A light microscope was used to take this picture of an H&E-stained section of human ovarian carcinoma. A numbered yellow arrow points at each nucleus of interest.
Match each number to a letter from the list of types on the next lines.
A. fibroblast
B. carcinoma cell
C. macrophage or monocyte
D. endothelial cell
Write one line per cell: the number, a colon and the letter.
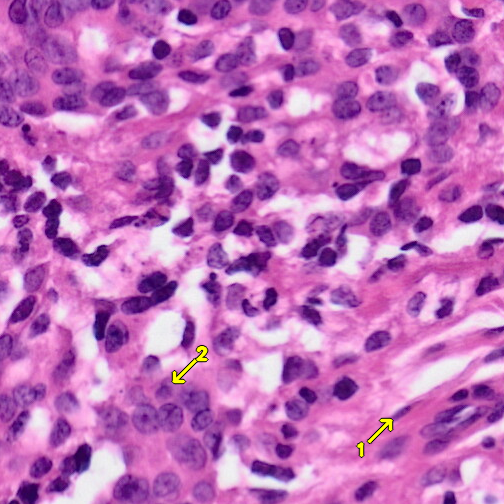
1: A
2: B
